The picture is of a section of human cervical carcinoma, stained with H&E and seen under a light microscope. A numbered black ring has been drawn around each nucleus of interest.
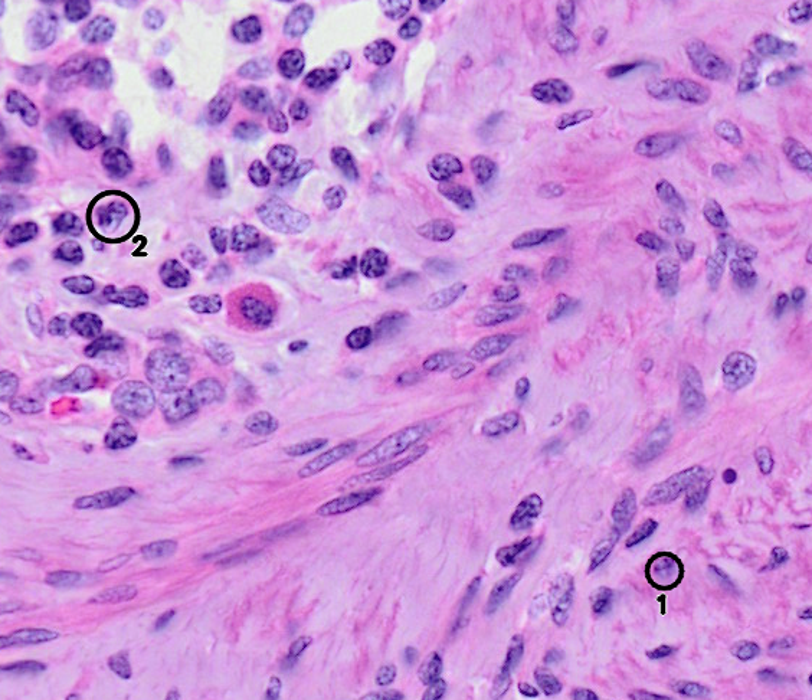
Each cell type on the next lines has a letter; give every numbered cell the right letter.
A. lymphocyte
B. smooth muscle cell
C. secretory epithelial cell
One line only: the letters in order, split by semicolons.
B; A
